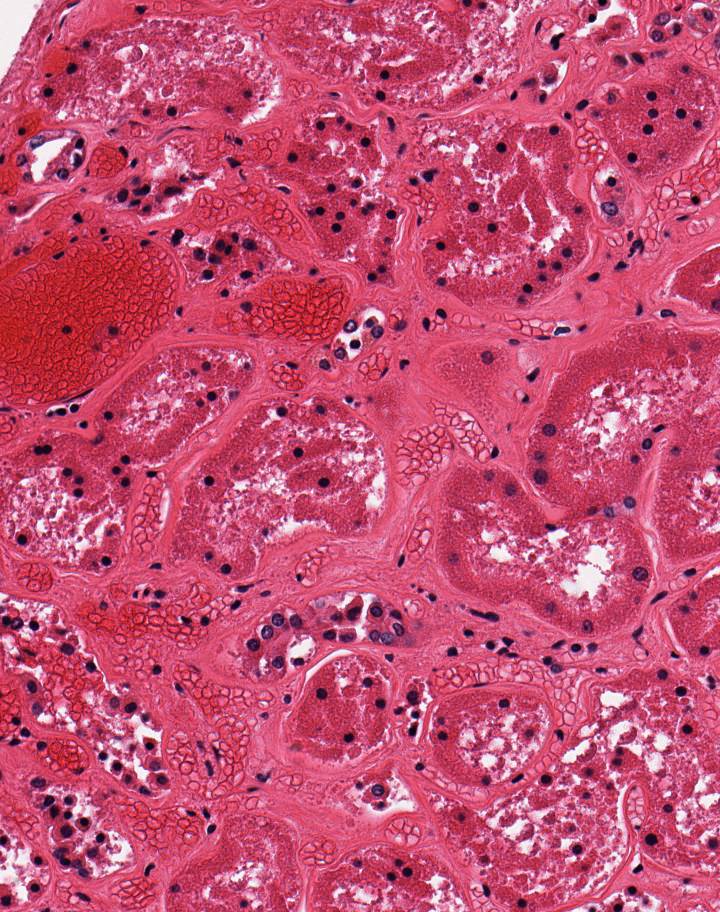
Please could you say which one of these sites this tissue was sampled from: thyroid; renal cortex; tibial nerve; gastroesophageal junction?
renal cortex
